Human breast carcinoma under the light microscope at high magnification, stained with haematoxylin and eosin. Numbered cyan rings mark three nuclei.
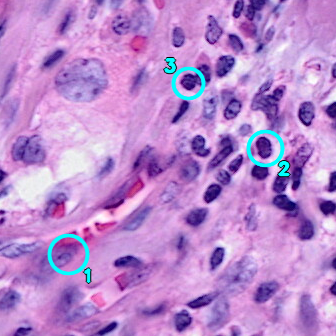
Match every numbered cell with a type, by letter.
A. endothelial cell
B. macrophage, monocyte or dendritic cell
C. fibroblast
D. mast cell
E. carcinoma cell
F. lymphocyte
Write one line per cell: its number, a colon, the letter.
1: A
2: F
3: F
